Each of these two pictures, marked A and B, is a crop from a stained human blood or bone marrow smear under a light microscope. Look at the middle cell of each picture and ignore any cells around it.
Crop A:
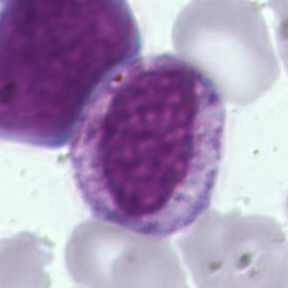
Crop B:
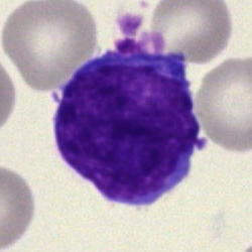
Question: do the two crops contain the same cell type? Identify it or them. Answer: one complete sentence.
No, crop A displays a myelocyte, and crop B displays a blast.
